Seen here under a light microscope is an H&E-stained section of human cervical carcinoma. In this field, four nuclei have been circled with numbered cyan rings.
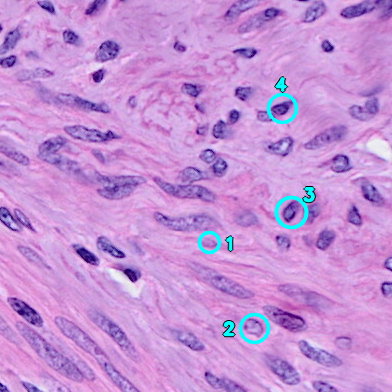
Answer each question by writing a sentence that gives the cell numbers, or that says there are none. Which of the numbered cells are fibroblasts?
Only one of the numbered nuclei, number 4, belongs to a fibroblast.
